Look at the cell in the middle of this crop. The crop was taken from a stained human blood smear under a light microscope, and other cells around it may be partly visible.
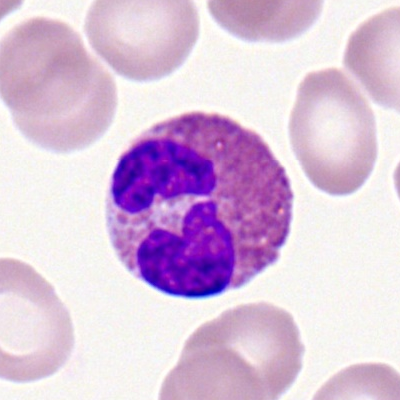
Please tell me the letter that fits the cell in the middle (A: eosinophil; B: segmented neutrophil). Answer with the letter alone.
A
